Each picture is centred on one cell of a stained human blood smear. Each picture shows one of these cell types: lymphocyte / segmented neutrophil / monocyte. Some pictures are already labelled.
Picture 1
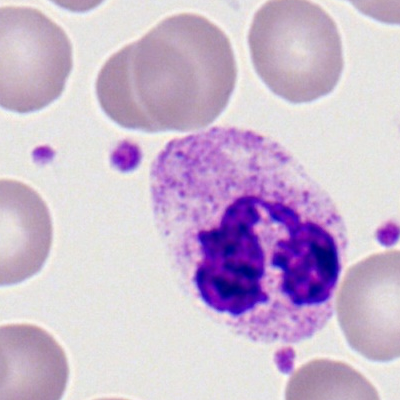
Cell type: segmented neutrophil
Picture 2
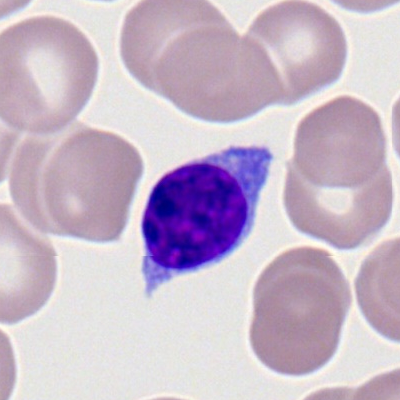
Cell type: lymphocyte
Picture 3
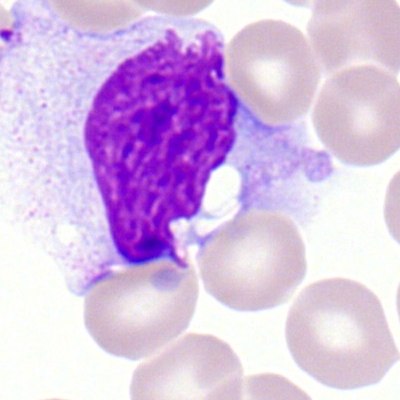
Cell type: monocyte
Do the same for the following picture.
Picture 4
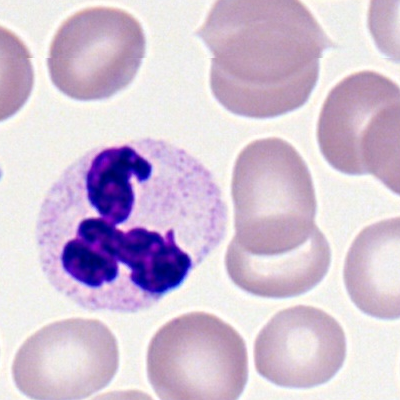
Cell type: segmented neutrophil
